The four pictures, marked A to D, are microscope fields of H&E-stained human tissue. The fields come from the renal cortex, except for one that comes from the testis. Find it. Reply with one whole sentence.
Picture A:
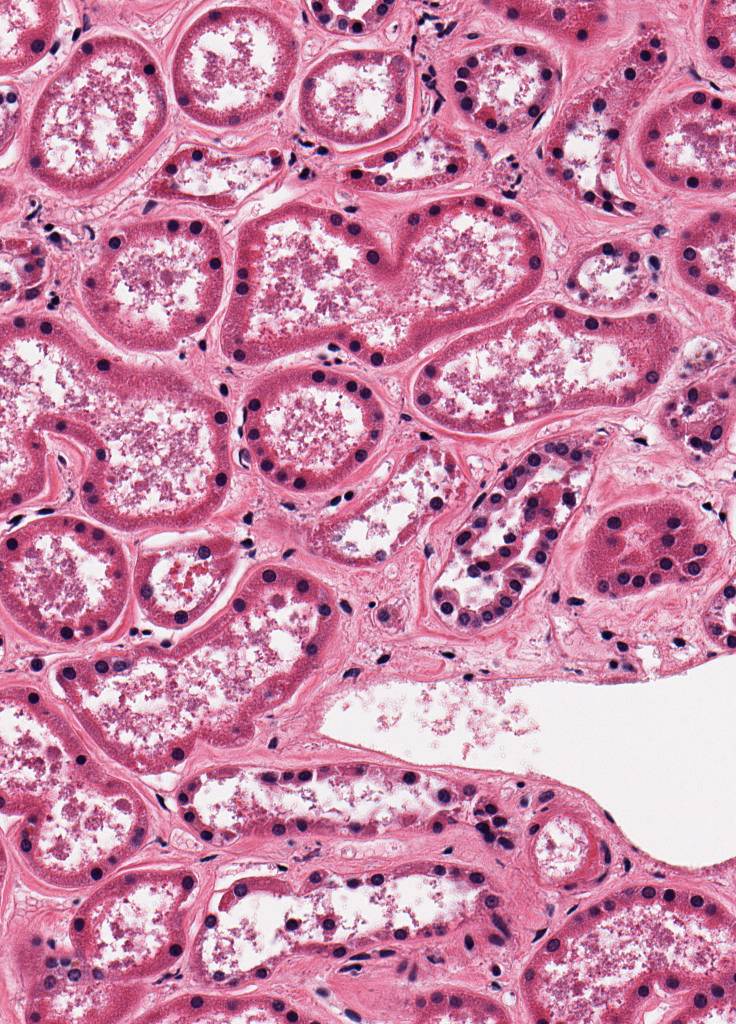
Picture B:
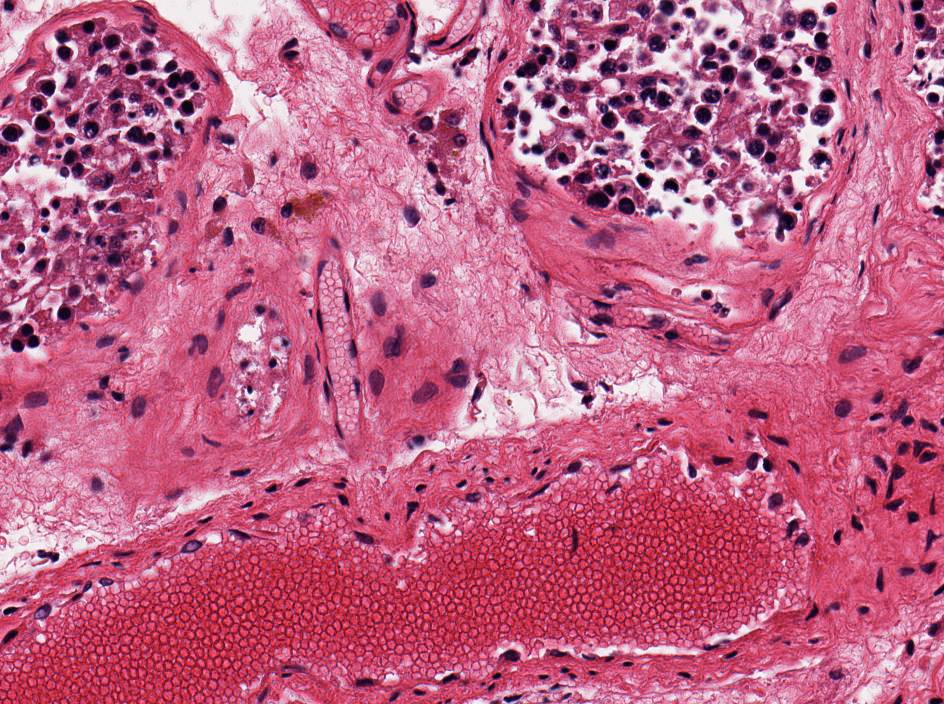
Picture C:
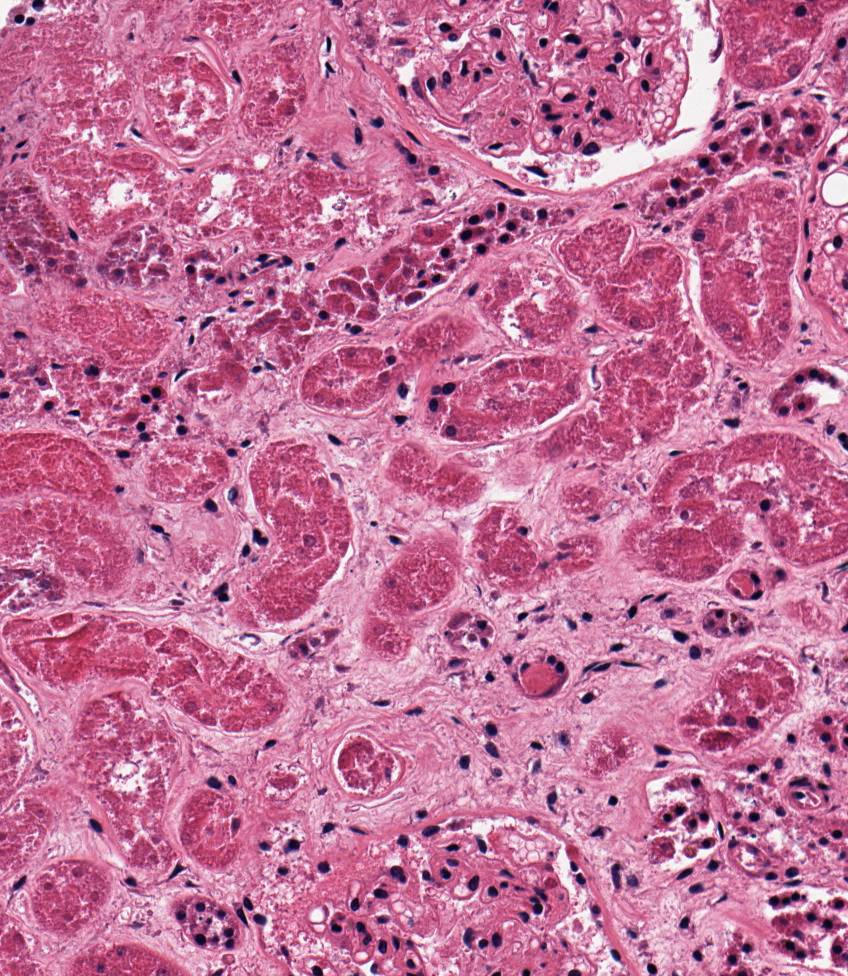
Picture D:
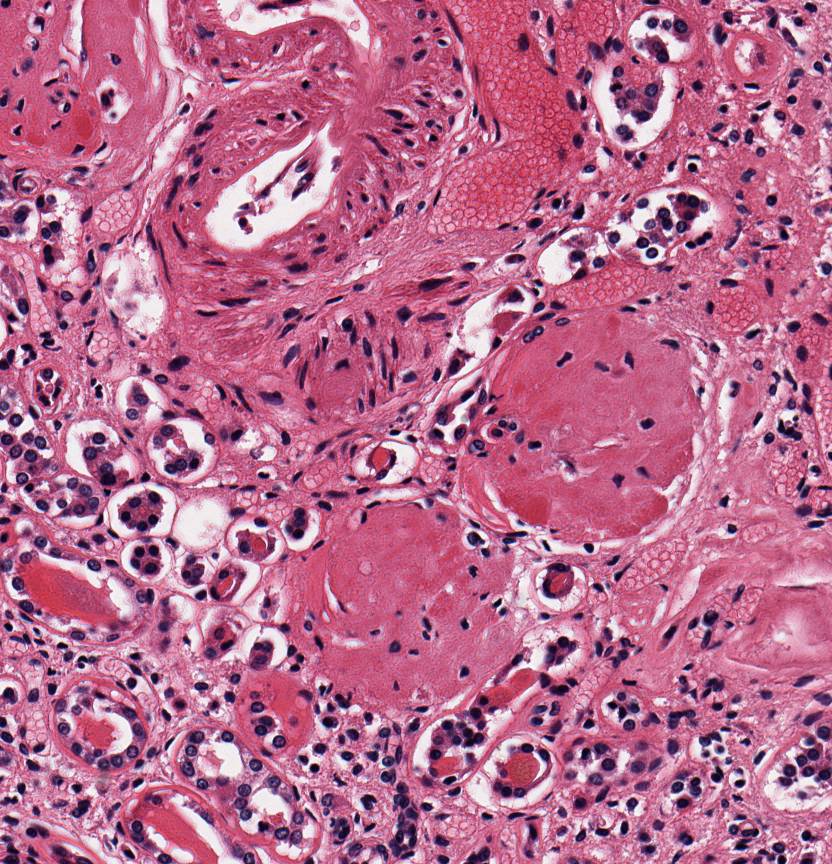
Picture B comes from the testis.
